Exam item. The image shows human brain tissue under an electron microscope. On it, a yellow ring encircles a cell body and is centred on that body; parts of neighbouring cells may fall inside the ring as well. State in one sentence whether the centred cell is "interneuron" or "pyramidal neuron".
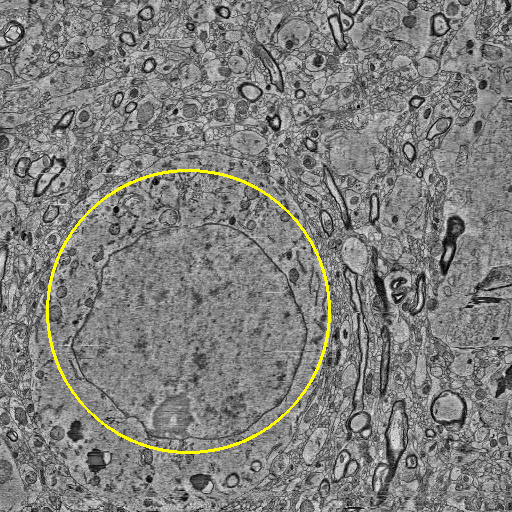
The cell body centred in the ring is a pyramidal neuron.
